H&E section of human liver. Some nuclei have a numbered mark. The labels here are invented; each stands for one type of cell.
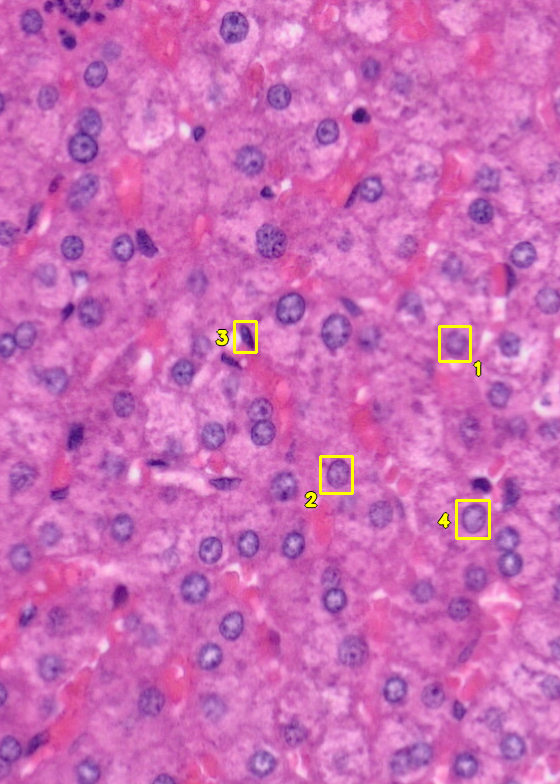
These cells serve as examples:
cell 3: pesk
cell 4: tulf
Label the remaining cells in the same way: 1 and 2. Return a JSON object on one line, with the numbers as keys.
{"1": "tulf", "2": "tulf"}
